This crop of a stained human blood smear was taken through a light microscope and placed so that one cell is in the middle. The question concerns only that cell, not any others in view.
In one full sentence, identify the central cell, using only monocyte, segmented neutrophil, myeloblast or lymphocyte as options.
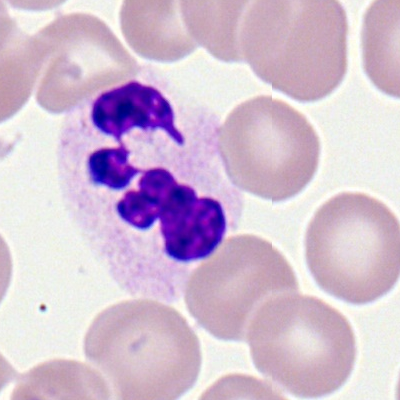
The cell around which this crop is centred is a segmented neutrophil.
